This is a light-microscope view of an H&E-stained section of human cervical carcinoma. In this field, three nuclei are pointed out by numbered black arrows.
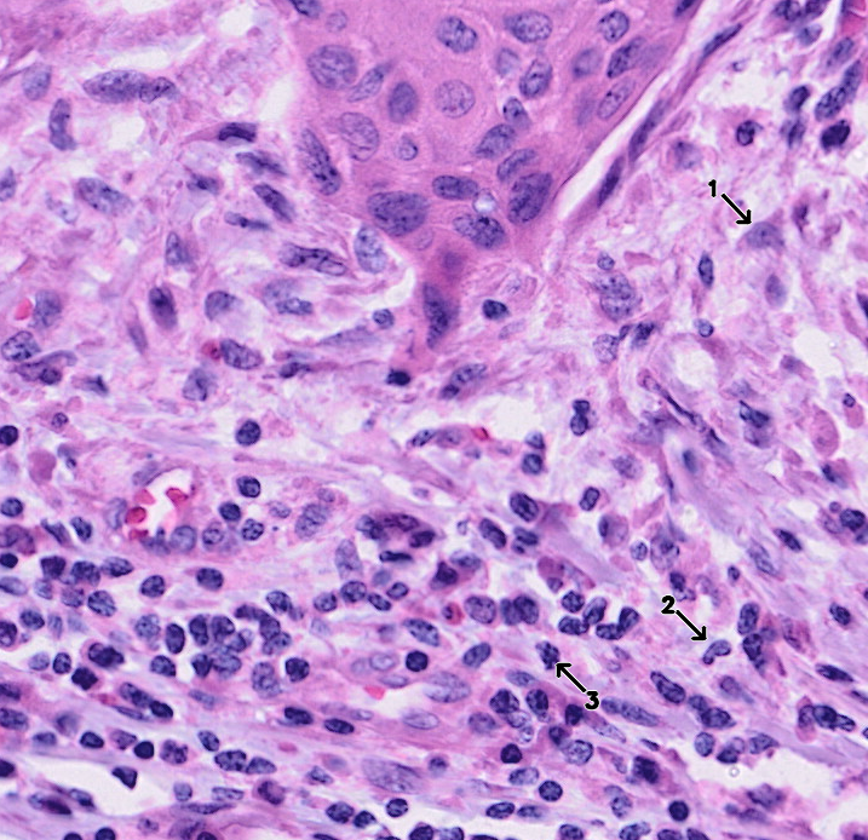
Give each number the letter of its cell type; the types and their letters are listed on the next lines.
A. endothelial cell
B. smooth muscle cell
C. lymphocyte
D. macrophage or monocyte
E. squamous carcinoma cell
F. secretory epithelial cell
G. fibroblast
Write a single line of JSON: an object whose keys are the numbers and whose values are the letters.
{"1": "G", "2": "C", "3": "C"}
